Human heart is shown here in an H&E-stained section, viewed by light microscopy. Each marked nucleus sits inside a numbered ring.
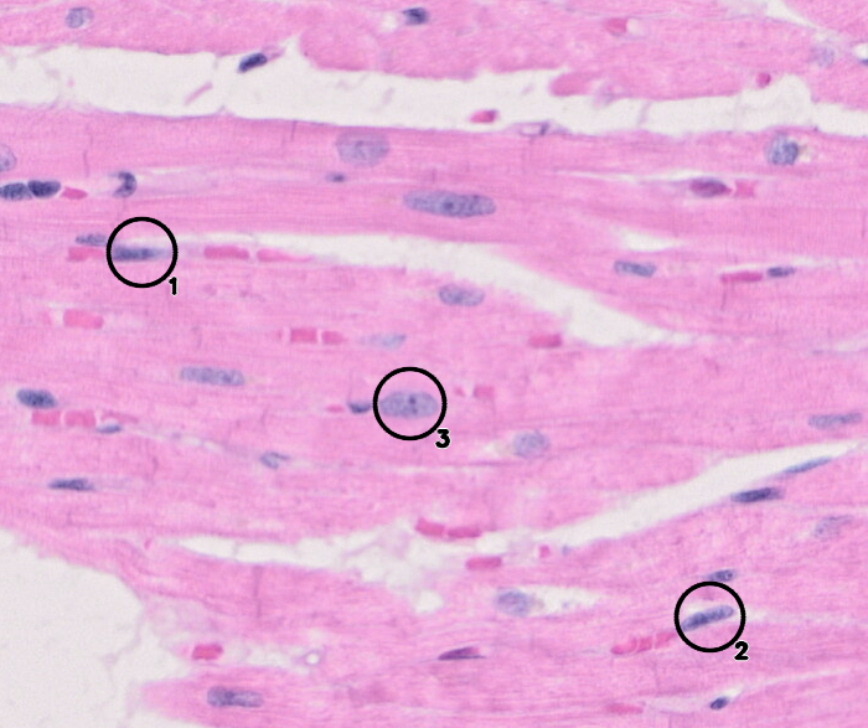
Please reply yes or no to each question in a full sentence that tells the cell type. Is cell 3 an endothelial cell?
No, number 3 is not an endothelial cell but a cardiomyocyte.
